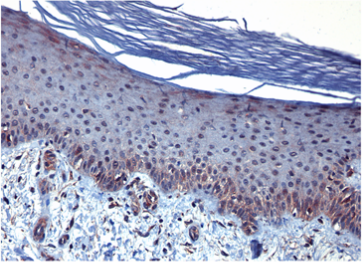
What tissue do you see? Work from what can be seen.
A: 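Epidermis. A stratified epithelium of many cell layers lies over loose connective tissue. Flattened, anucleate layers in a loose basket-weave form the top surface. Cells flatten progressively from the base toward the surface.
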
